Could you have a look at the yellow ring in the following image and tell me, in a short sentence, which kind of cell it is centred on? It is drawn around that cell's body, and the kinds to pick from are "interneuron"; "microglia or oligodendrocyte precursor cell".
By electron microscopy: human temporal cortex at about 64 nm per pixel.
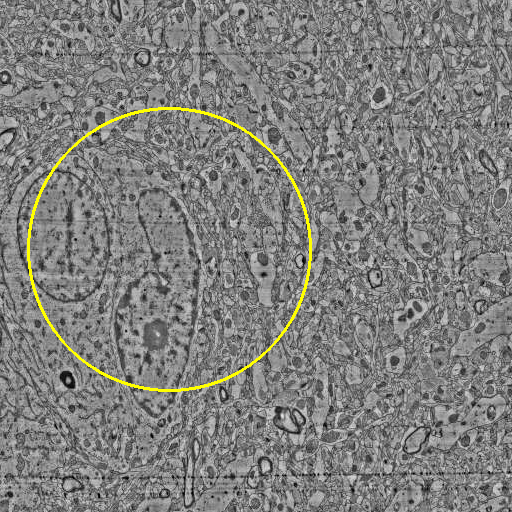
The ring is centred on the body of a microglial cell or oligodendrocyte precursor cell.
